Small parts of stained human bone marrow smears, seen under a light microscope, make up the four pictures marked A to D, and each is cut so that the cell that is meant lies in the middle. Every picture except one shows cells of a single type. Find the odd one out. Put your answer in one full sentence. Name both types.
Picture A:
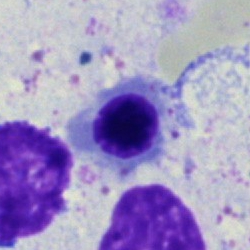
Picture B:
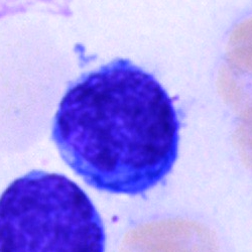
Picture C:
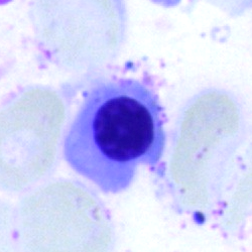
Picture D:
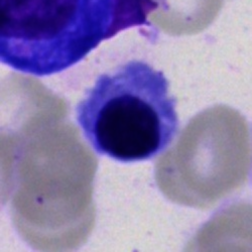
Picture B differs, because its cell is a lymphocyte and the rest are erythroblasts.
